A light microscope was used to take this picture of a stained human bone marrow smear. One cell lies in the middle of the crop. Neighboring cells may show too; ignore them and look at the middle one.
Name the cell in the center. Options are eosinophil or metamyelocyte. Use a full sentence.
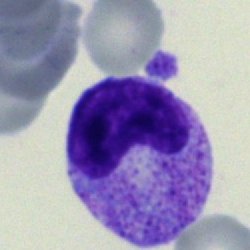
The cell positioned in the middle of the field is a metamyelocyte.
